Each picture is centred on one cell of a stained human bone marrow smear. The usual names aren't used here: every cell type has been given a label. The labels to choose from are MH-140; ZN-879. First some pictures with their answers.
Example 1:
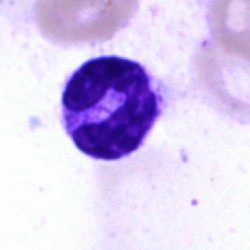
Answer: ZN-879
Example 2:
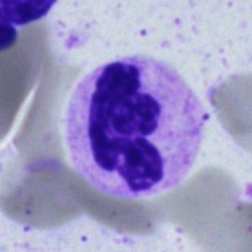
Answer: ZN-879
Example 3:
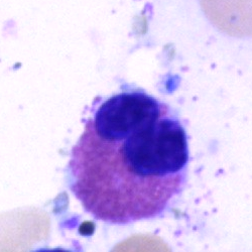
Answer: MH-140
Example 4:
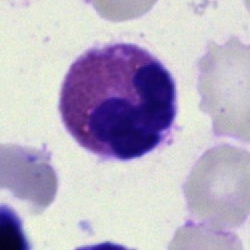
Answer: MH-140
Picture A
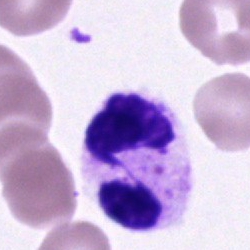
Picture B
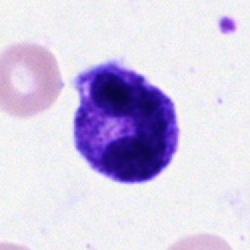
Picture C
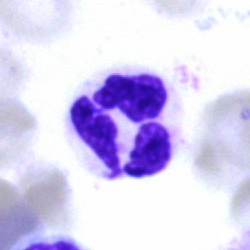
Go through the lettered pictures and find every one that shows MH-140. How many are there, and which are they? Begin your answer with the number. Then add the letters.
0, none of them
